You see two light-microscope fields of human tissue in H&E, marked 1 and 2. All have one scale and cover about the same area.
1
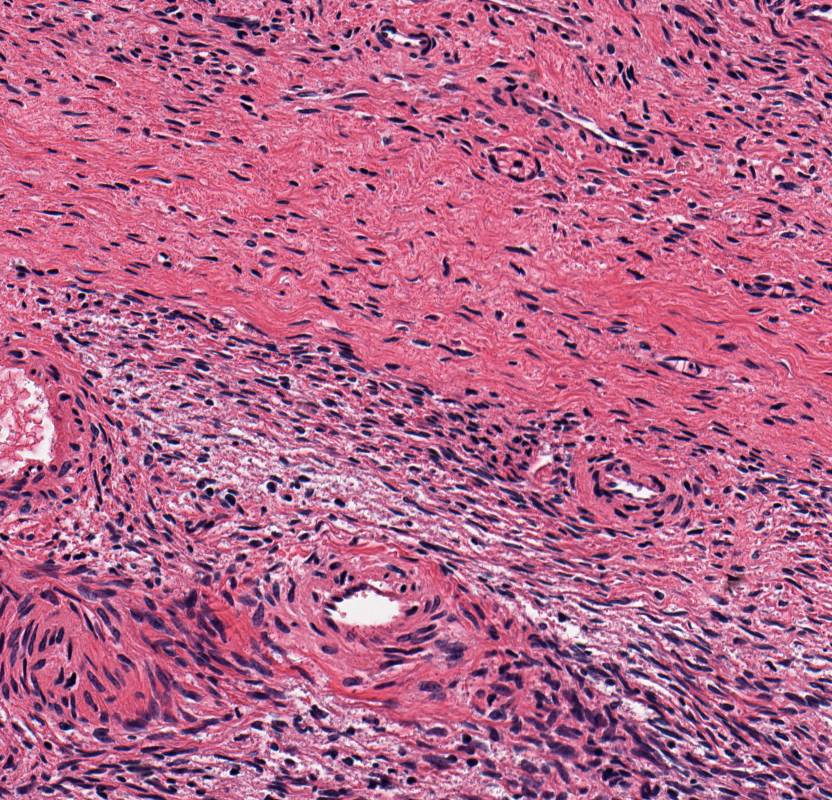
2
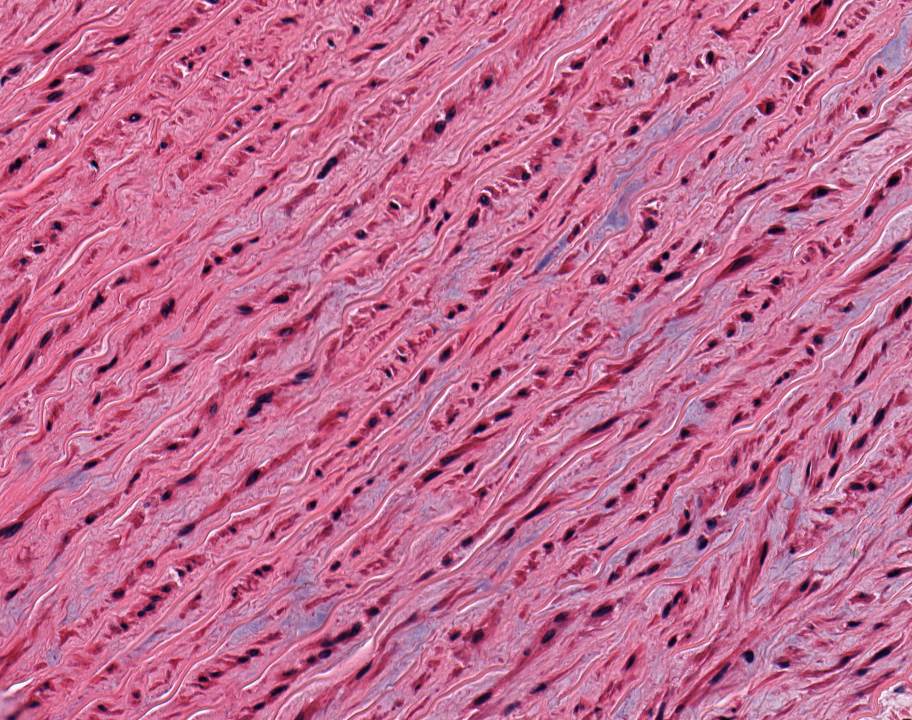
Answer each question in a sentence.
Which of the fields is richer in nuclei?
There are more nuclei in field 1.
